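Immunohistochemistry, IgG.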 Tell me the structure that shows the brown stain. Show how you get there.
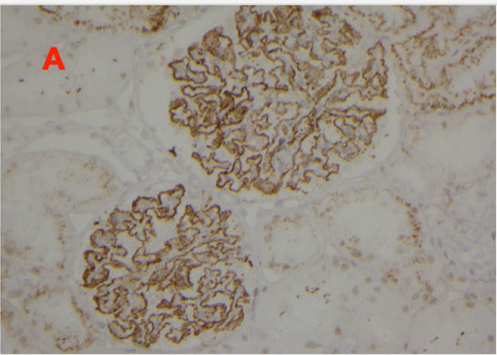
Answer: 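Two round tufts show a strong brown linear stain tracing looping walls. The surrounding tubules are largely pale. That points to this answer: glomerular capillary walls.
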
